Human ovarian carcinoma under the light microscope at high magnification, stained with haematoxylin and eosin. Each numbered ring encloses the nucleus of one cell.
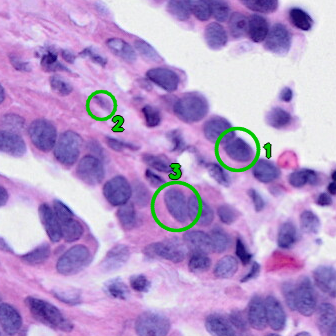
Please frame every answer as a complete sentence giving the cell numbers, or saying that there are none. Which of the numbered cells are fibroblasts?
The numbered cell that is a fibroblast is cell 2, and it is the only one.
